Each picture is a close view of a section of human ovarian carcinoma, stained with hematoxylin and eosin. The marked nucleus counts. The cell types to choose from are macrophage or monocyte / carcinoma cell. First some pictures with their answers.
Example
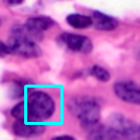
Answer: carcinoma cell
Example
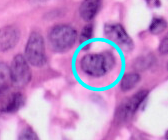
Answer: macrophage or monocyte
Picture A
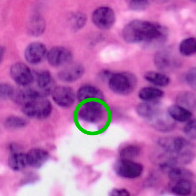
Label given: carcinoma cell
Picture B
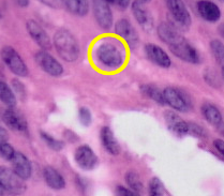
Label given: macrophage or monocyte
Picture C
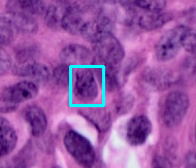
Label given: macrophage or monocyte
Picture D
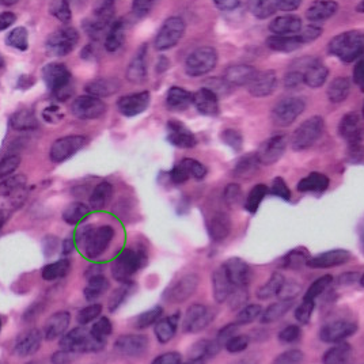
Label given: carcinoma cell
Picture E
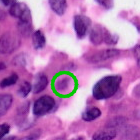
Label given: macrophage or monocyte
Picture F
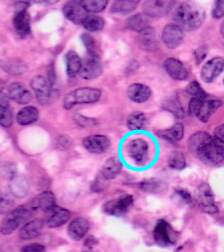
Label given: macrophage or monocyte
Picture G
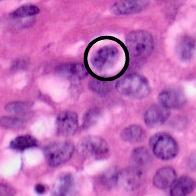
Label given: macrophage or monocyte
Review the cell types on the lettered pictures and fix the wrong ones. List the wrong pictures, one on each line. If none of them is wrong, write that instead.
Every label is right.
